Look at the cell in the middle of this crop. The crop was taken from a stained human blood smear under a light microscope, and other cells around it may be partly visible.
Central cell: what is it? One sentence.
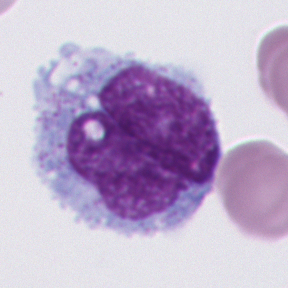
The cell occupying the middle of the crop is a monocyte.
